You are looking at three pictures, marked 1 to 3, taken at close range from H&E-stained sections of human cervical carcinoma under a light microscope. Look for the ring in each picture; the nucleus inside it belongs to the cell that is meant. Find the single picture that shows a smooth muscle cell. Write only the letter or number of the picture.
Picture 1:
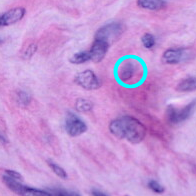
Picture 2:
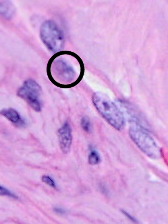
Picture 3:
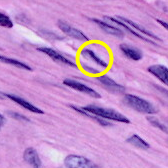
1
